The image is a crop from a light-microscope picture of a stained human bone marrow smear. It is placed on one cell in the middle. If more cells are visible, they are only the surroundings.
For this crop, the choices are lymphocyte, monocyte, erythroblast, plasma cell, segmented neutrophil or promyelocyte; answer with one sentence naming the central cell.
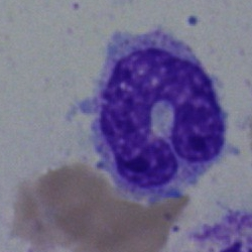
The centered cell in this crop is a monocyte.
